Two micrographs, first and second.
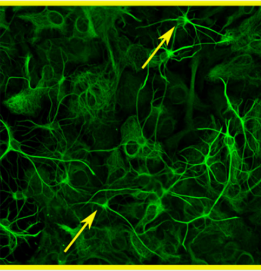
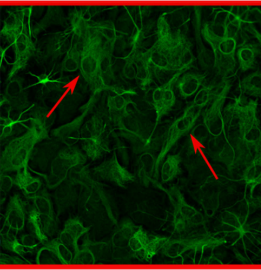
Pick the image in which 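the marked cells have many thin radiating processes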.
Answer: the first image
